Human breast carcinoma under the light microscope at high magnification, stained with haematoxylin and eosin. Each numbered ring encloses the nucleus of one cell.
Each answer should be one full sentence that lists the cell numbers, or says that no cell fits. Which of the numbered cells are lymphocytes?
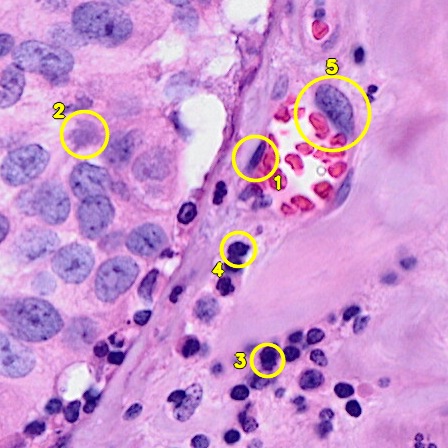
The numbers 3 and 4 refer to cells that are lymphocytes.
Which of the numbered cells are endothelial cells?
Within this tissue, the cells numbered 1 and 5 are endothelial cells.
